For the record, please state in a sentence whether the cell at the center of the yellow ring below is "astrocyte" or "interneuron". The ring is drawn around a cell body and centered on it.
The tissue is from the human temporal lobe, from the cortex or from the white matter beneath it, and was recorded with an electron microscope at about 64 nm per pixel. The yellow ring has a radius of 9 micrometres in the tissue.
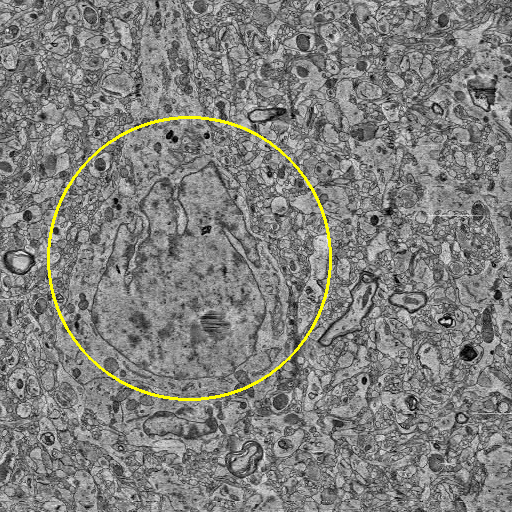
The cell at the ring's center is an interneuron.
